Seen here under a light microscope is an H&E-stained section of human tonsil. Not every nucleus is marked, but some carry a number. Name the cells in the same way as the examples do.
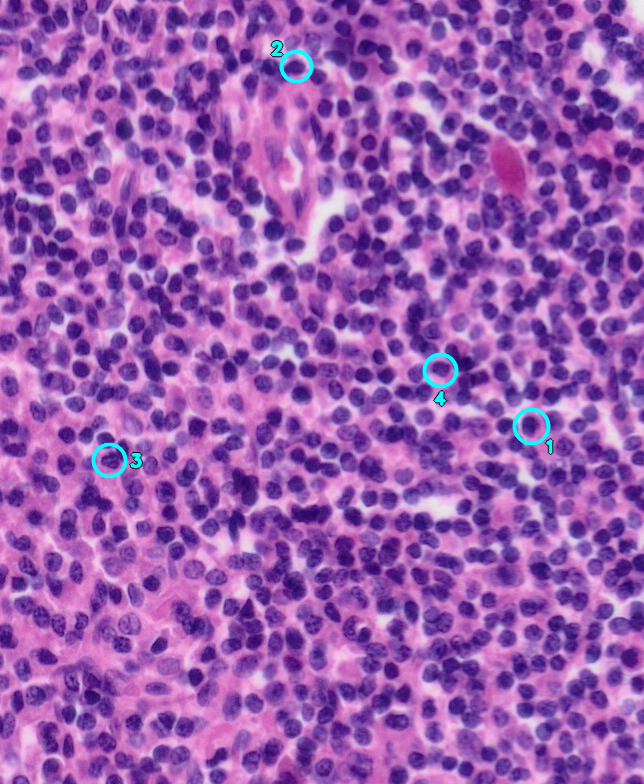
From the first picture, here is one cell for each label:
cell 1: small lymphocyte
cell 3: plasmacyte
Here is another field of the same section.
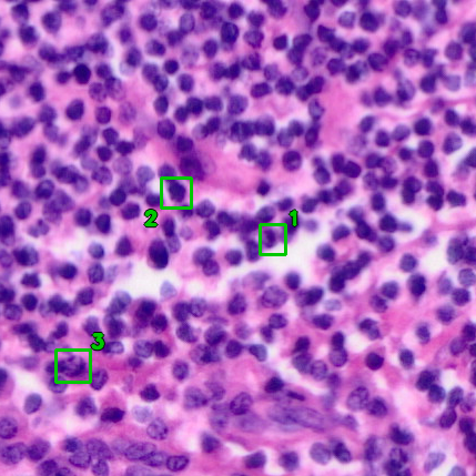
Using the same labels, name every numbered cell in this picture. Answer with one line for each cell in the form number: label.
1: small lymphocyte
2: small lymphocyte
3: plasmacyte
